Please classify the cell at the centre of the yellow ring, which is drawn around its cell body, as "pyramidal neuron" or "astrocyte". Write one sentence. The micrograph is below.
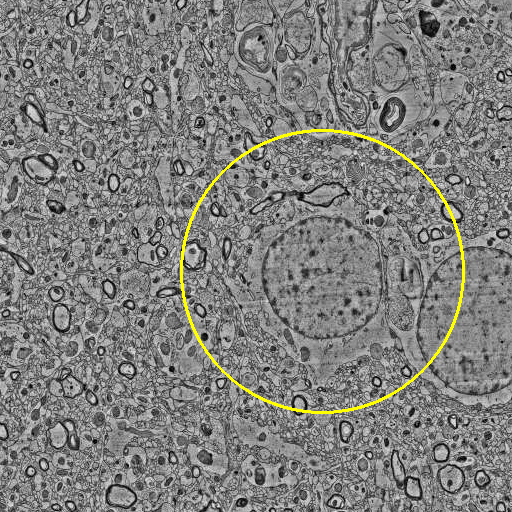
The cell at the ring's centre is classified as an astrocyte.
